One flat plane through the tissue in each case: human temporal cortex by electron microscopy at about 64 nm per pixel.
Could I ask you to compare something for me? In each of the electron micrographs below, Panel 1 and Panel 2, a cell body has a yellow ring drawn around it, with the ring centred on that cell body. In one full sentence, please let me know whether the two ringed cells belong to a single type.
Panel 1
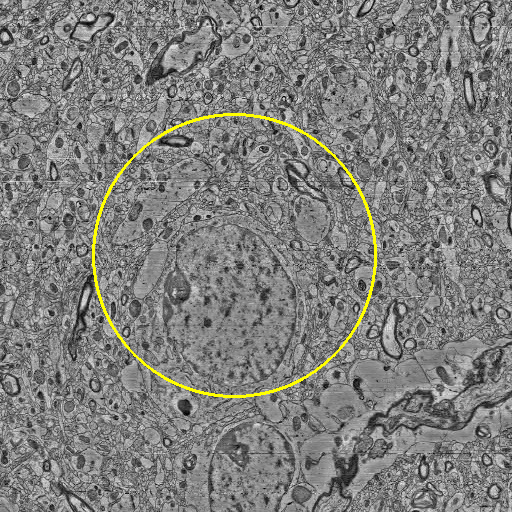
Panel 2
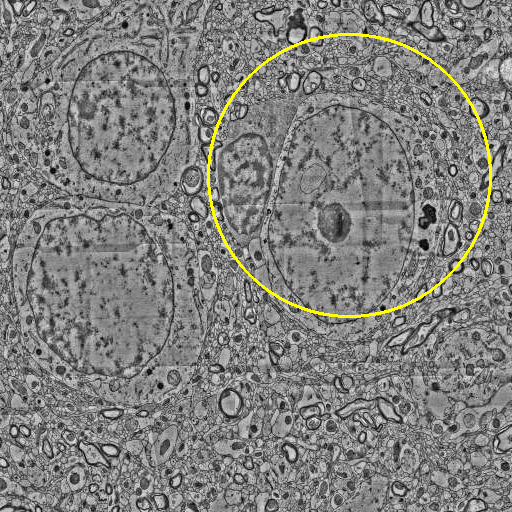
No, the two cells at the centres of the rings are of two types.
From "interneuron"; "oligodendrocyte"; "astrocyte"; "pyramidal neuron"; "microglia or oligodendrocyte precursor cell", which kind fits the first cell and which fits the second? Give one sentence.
The cell marked in the first picture is an interneuron, and the one marked in the second is a pyramidal neuron.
